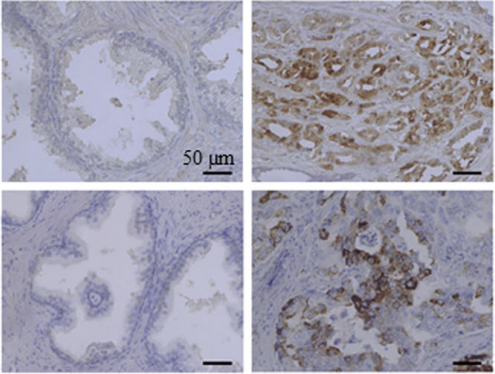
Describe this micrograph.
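The left images show benign prostate glands with wide lumens and folded outlines, lined by a thin layer of epithelium with blue nuclei. The glands are set in loose fibromuscular stroma, and both show only faint staining. The right images show crowded small glands and clusters of tumour cells infiltrating the stroma, with strong brown staining of their cytoplasm.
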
